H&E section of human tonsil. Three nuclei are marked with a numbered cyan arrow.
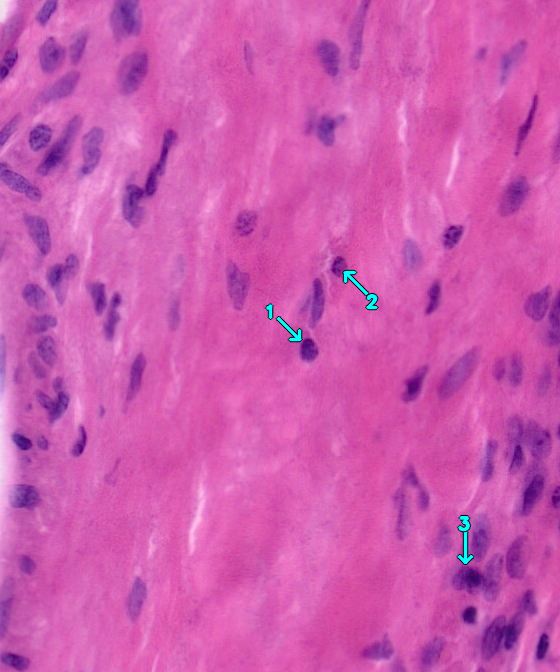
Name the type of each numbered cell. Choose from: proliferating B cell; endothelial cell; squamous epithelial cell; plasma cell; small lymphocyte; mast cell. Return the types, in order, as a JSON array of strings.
["mast cell", "mast cell", "endothelial cell"]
